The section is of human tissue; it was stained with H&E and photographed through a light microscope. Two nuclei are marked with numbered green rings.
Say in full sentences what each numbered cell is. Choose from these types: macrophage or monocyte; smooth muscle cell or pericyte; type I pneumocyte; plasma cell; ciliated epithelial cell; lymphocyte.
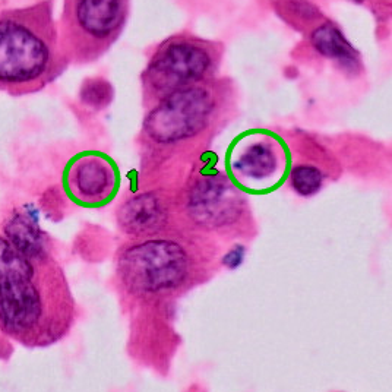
Cell 1 is a macrophage or monocyte and cell 2 is a lymphocyte.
